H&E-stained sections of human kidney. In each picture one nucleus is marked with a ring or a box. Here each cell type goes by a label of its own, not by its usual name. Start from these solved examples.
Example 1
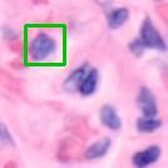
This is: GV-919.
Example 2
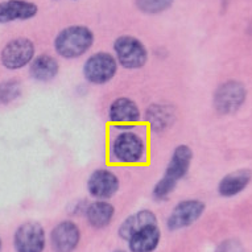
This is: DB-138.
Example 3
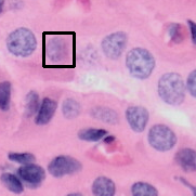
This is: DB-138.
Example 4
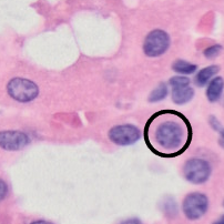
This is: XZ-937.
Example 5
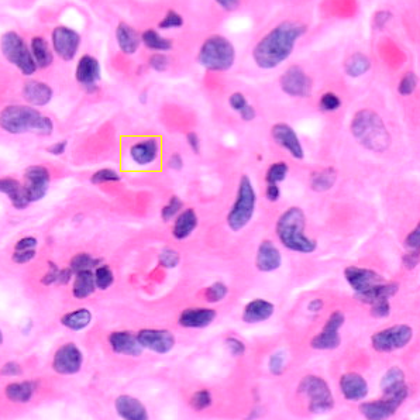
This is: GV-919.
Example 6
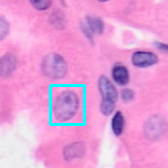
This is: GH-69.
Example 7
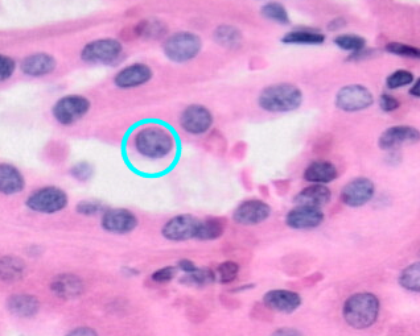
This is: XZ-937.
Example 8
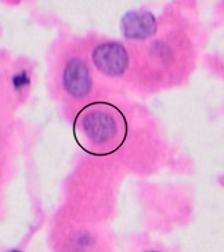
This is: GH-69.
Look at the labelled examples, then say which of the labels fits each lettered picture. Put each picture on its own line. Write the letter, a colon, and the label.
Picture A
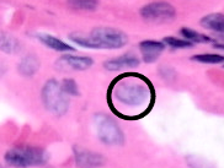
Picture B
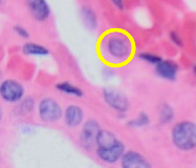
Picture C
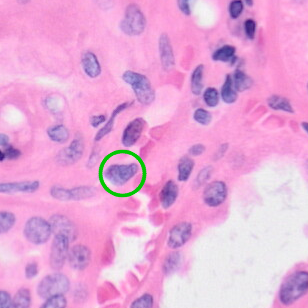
A: XZ-937.
B: XZ-937.
C: GV-919.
